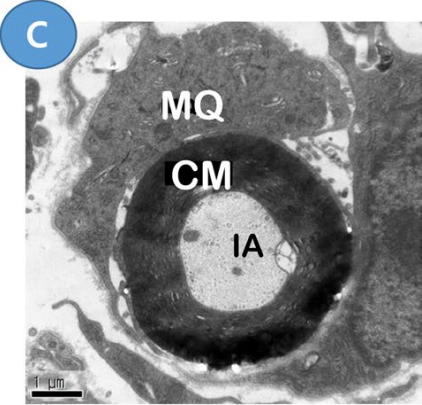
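This is a single myelinated nerve fibre in cross section, wrapped by a macrophage, in the electron microscope. At the centre is a round, pale axon with fine, even texture. Around it lies a thick ring of dark, tightly packed compact myelin. The macrophage lies directly against the outer surface of the myelin. No thin layer of Schwann cell cytoplasm can be traced between them.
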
